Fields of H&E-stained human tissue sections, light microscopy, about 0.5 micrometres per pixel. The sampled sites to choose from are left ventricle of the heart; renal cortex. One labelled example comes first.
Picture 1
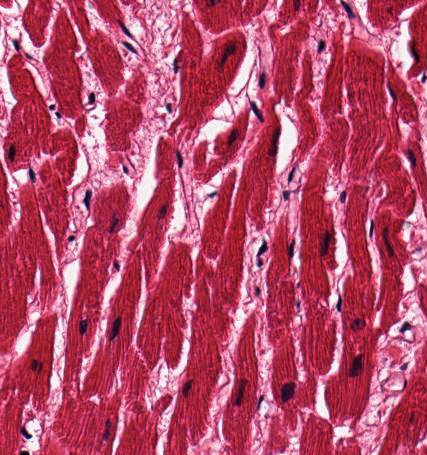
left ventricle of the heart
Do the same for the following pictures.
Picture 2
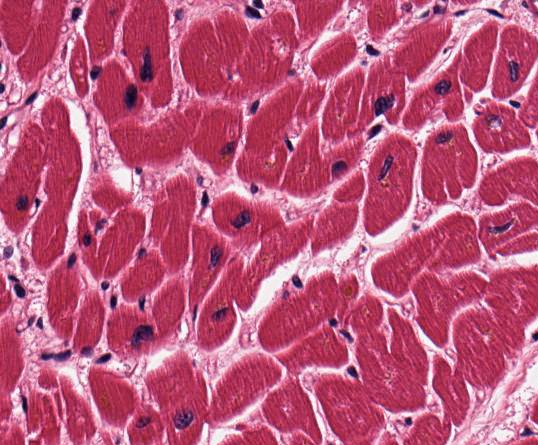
left ventricle of the heart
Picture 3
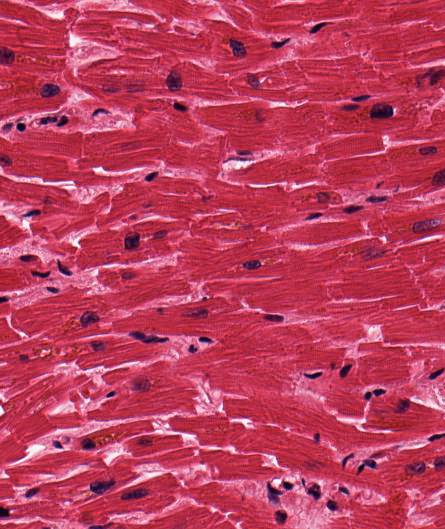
left ventricle of the heart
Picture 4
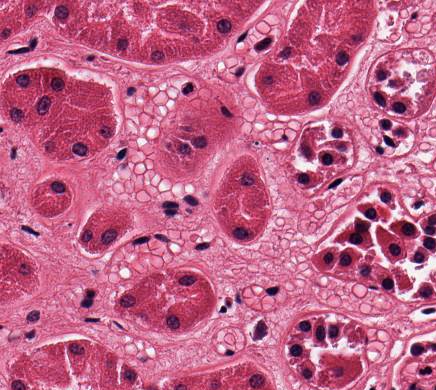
renal cortex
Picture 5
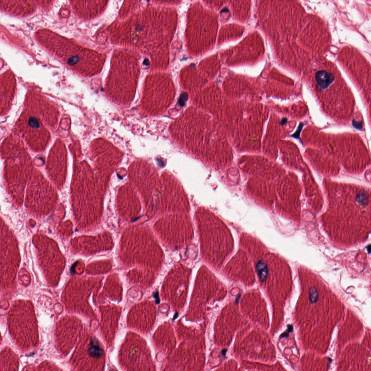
left ventricle of the heart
